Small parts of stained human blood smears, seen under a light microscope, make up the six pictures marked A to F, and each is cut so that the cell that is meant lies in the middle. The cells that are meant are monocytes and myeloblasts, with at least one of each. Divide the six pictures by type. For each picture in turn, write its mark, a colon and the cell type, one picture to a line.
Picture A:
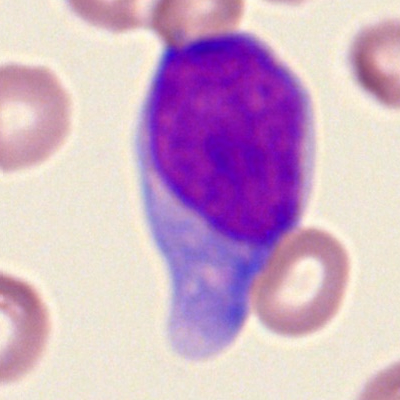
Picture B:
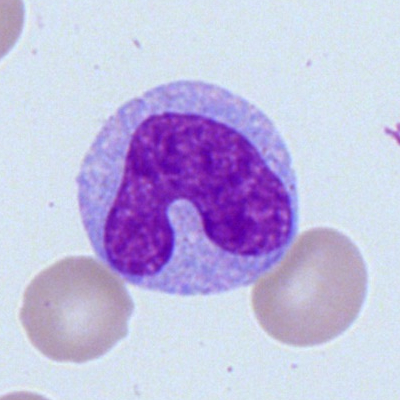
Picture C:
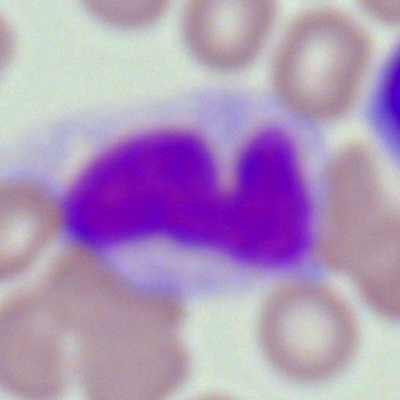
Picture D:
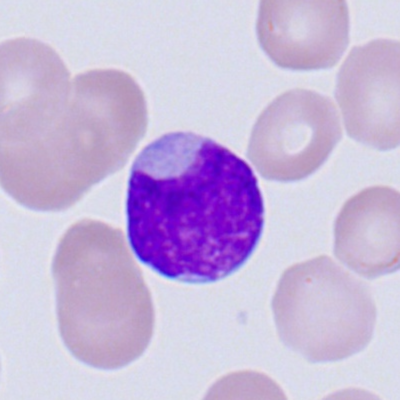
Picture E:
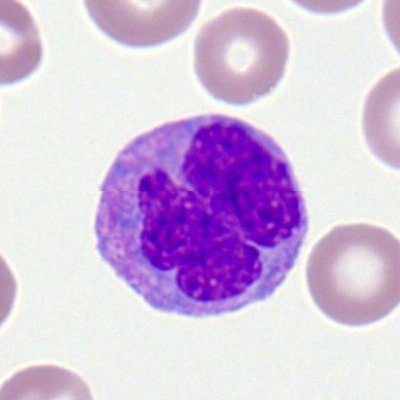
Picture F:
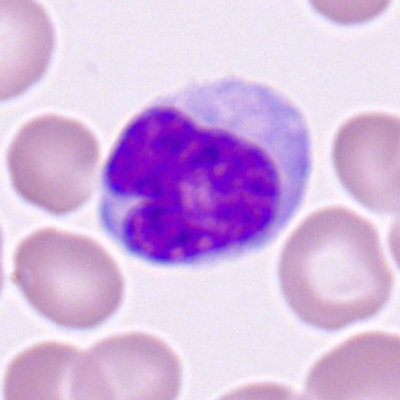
A: myeloblast
B: monocyte
C: monocyte
D: myeloblast
E: monocyte
F: monocyte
